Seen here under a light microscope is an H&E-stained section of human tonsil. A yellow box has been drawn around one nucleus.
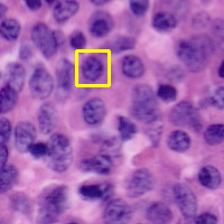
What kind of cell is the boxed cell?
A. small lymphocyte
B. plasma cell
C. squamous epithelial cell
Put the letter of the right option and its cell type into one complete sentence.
The proper choice here is B: the boxed cell is a plasma cell.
